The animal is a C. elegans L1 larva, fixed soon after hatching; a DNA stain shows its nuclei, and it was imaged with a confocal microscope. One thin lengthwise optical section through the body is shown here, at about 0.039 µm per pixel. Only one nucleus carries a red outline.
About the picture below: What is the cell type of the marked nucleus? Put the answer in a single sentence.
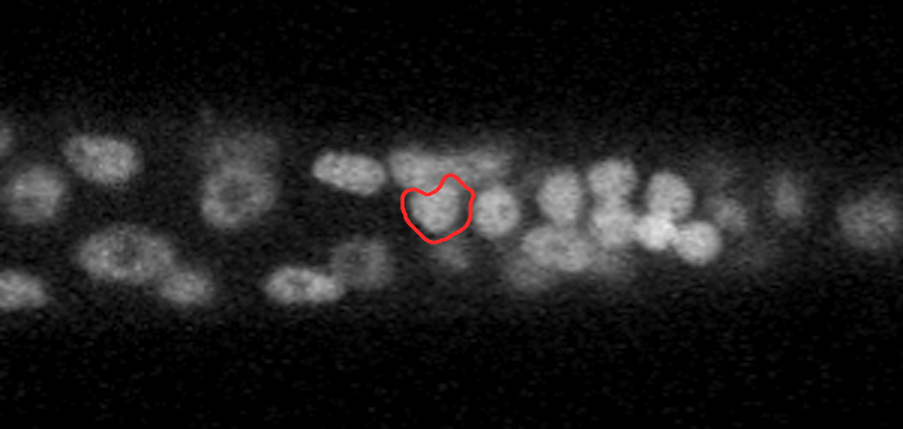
The marked cell is an enteric muscle cell.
